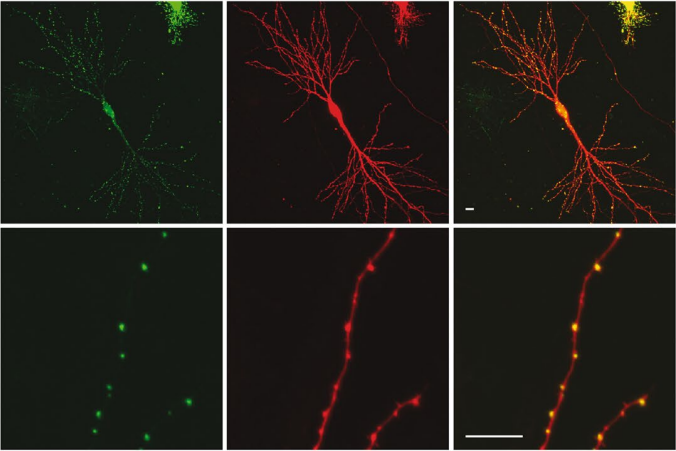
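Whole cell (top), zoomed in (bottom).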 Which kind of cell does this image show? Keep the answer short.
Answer: Pyramidal neurons.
